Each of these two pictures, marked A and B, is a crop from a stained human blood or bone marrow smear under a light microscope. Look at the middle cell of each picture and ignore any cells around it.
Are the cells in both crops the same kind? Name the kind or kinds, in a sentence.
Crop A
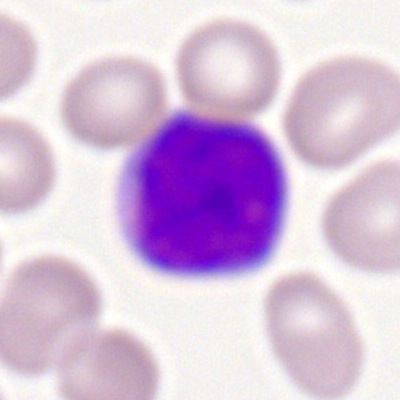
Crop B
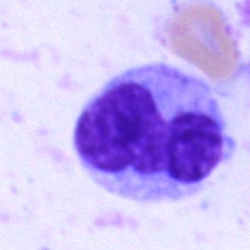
No, crop B holds a monocyte, while crop A holds a lymphocyte.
